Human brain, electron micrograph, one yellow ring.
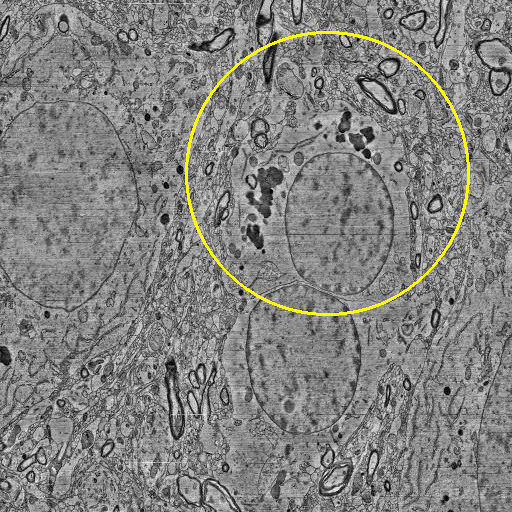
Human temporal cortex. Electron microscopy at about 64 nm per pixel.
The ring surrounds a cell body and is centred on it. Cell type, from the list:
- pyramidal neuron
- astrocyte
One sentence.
The yellow ring circles an astrocyte.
